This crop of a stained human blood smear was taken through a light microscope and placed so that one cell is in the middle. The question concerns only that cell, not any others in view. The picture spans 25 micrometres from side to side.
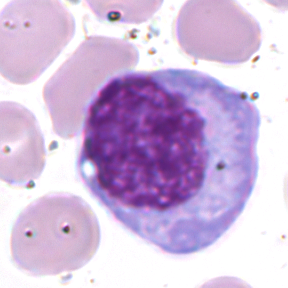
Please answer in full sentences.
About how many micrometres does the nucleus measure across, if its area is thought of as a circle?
The diameter of the nucleus comes to about 11 micrometres.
